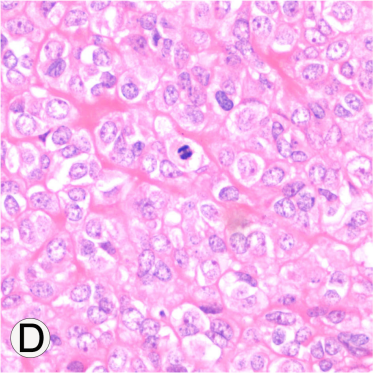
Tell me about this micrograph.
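Sheets of epithelioid tumor cells fill the field, polygonal and closely packed with pale pink cytoplasm and fairly distinct cell borders. Their nuclei are round to oval with fine chromatin and small nucleoli, and one cell in the centre shows dark condensed chromosomes of a dividing cell. Thin strands of homogeneous pink glassy stroma run between groups of cells.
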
